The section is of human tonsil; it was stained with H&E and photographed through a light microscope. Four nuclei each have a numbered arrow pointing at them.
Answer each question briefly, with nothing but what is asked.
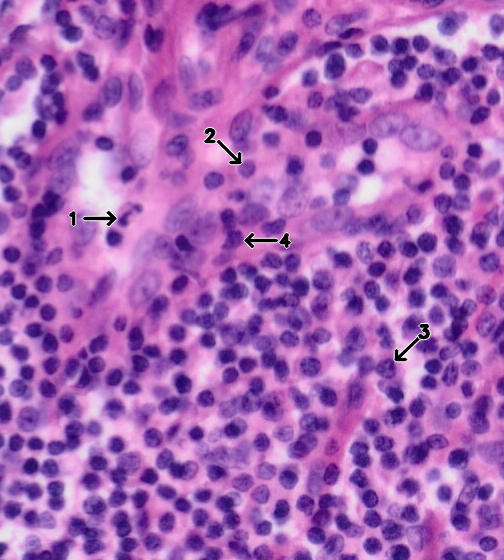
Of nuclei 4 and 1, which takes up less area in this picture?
1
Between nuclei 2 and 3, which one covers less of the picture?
2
